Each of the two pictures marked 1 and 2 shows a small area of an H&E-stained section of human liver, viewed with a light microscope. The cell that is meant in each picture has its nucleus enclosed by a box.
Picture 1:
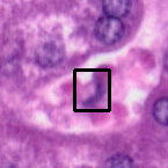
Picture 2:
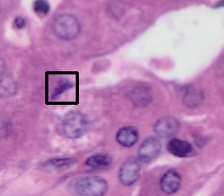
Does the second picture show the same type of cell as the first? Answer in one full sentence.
No, they differ: the cell is a Kupffer cell in picture 1 and a “fibroblast or stellate cell” in picture 2.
